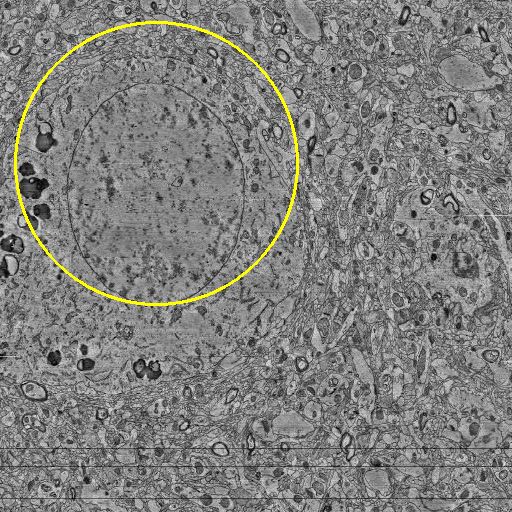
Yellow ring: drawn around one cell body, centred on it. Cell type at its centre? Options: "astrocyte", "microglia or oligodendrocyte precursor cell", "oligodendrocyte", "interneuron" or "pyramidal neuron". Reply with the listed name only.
pyramidal neuron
